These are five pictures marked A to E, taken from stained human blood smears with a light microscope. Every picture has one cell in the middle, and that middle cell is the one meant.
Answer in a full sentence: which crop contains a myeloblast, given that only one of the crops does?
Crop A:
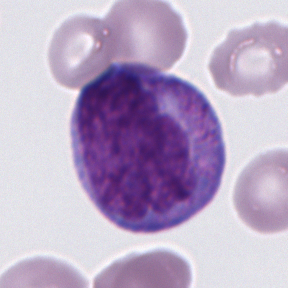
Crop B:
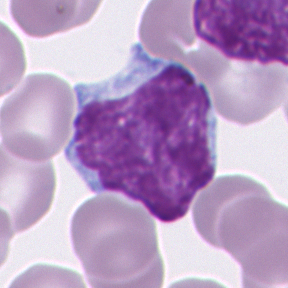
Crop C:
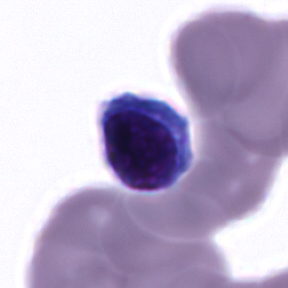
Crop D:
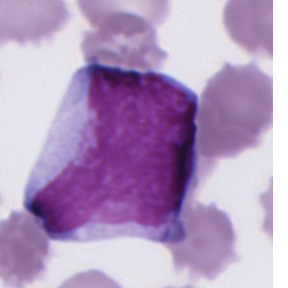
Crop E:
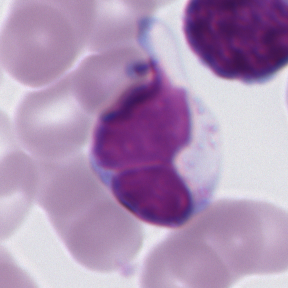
The requested cell, a myeloblast, is the one in crop D.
